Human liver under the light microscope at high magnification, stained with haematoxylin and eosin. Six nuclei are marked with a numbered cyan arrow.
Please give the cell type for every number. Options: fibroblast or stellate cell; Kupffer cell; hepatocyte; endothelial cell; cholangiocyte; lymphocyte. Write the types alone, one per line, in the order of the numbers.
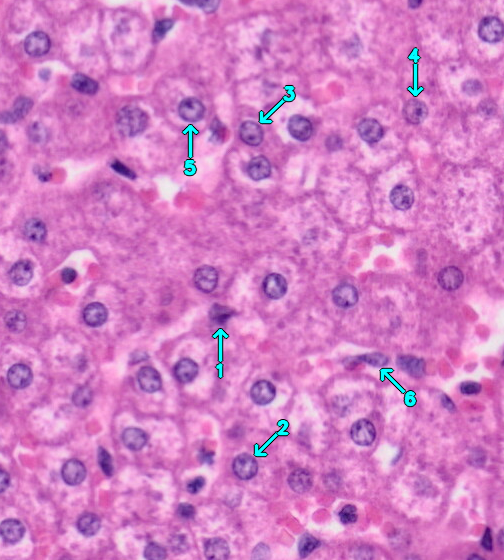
endothelial cell
hepatocyte
hepatocyte
hepatocyte
hepatocyte
Kupffer cell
